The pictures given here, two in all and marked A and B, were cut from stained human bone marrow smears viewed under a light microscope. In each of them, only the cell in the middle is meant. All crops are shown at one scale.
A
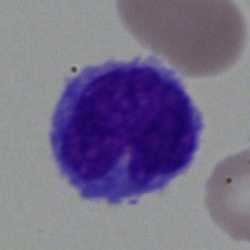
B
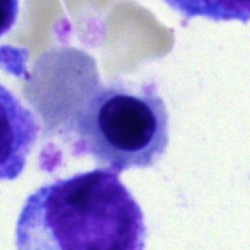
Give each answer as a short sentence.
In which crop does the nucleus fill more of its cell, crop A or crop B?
It is the cell in crop A that is filled more by its nucleus.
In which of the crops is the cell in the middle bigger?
It is the cell in crop A, about 3 times as large in area as the cell in crop B.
